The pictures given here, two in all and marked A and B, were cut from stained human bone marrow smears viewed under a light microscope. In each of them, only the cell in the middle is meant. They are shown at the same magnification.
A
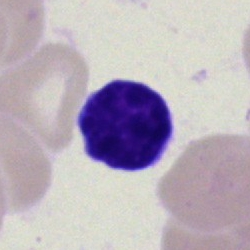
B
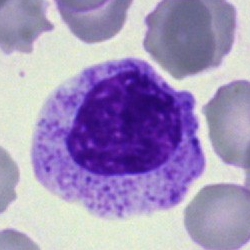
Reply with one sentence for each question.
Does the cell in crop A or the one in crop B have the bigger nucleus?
The nucleus in crop B is larger, with about 1.5 times the area of the one in crop A.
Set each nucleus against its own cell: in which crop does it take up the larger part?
Of the two, the nucleus in crop A makes up the greater part of its cell.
